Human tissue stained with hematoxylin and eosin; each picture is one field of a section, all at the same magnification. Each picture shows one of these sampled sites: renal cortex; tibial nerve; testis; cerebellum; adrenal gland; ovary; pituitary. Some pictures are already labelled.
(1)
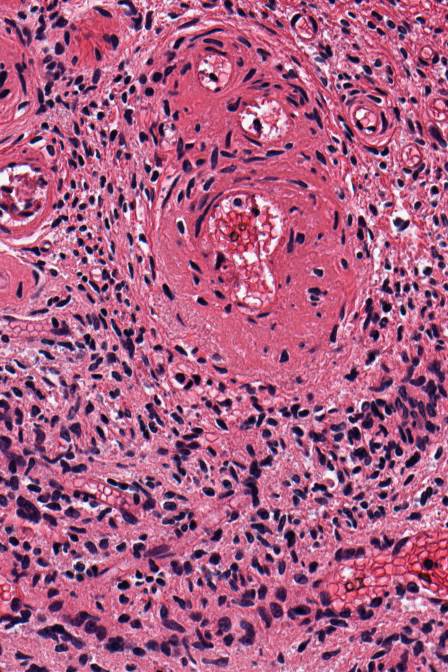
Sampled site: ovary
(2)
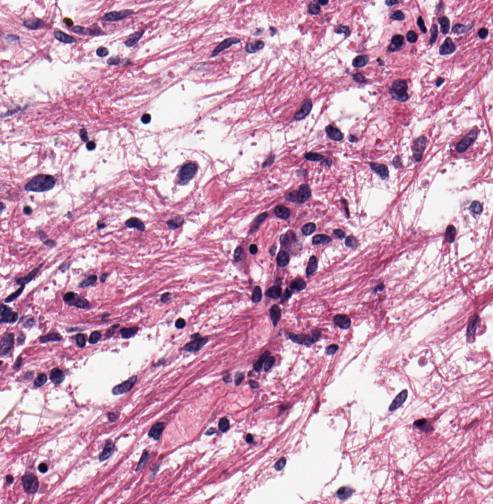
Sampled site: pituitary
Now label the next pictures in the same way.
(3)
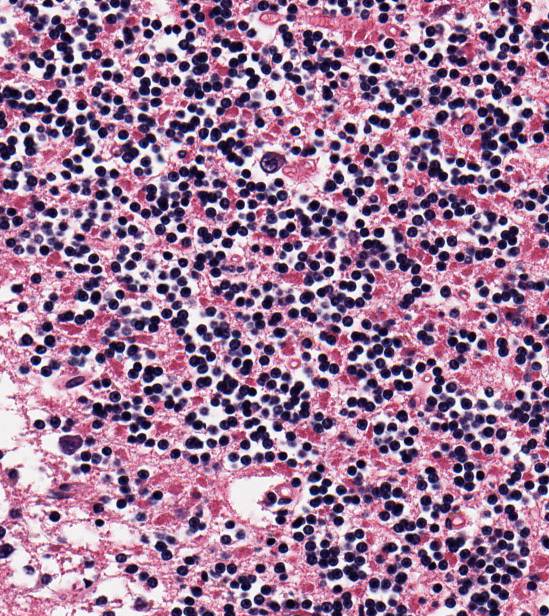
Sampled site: cerebellum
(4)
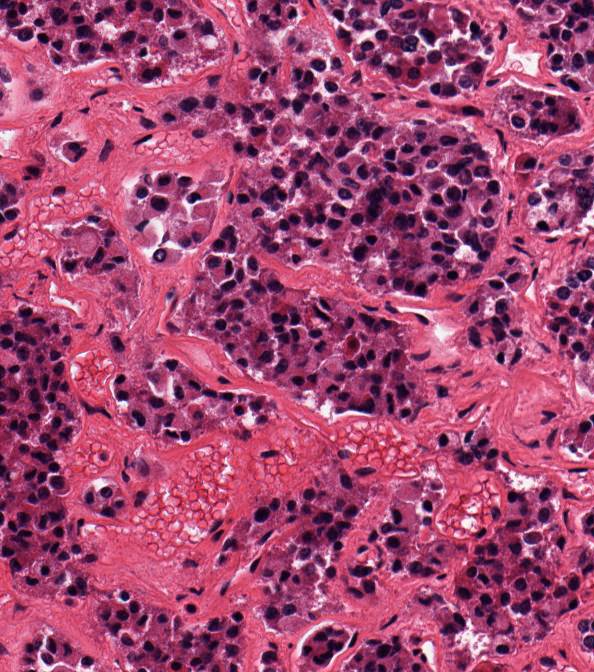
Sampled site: pituitary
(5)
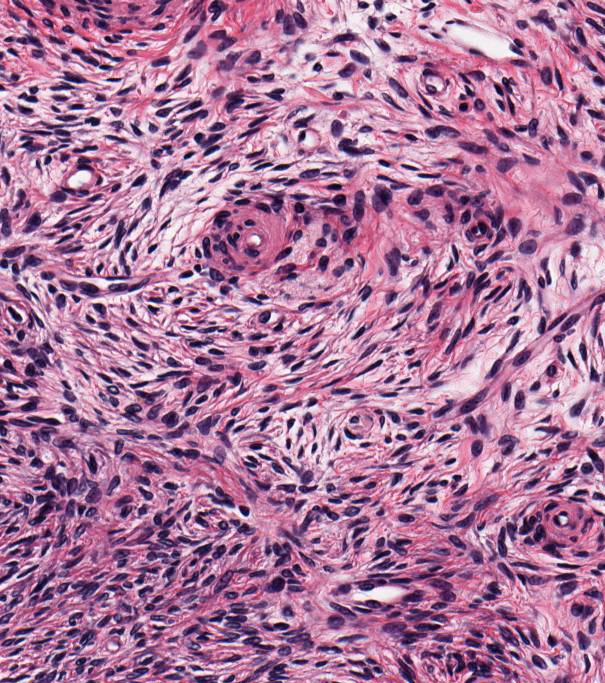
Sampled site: ovary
